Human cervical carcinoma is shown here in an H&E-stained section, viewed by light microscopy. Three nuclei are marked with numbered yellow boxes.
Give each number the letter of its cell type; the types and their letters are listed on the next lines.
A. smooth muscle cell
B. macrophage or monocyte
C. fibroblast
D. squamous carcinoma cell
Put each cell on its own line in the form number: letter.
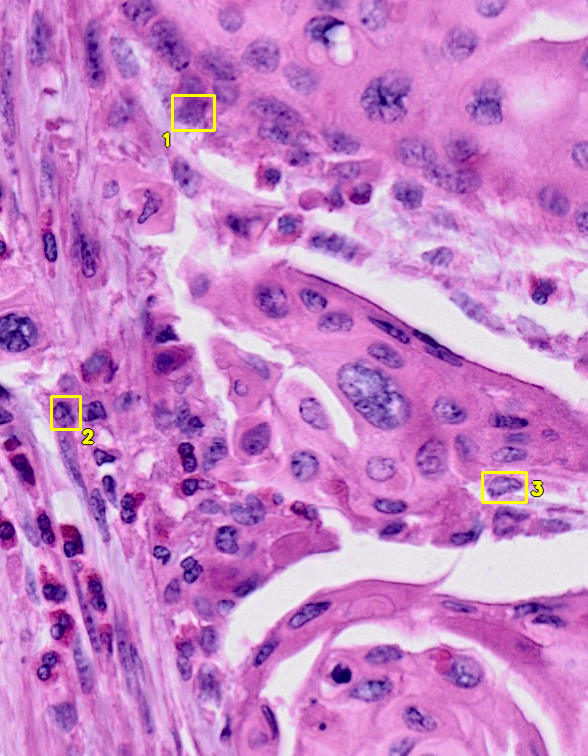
1: C
2: B
3: B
